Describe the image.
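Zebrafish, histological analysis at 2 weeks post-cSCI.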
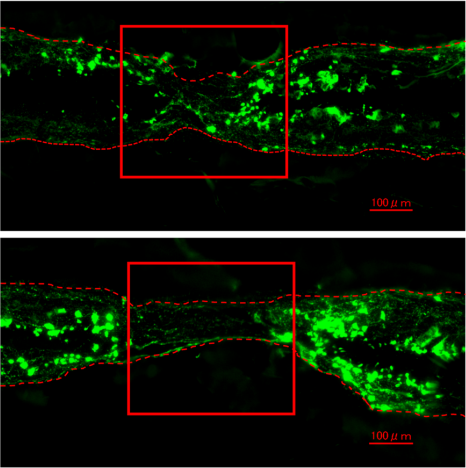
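Two longitudinal fluorescence images of a slender band of tissue, outlined by red dashed lines, show bright green fibres and clustered green puncta on a dark background. In the upper image, thin green fibres and puncta run continuously through the boxed, narrowed region. In the lower image, the boxed region is nearly empty of green, with only a few faint fibres, while dense green signal is massed on either side of it.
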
